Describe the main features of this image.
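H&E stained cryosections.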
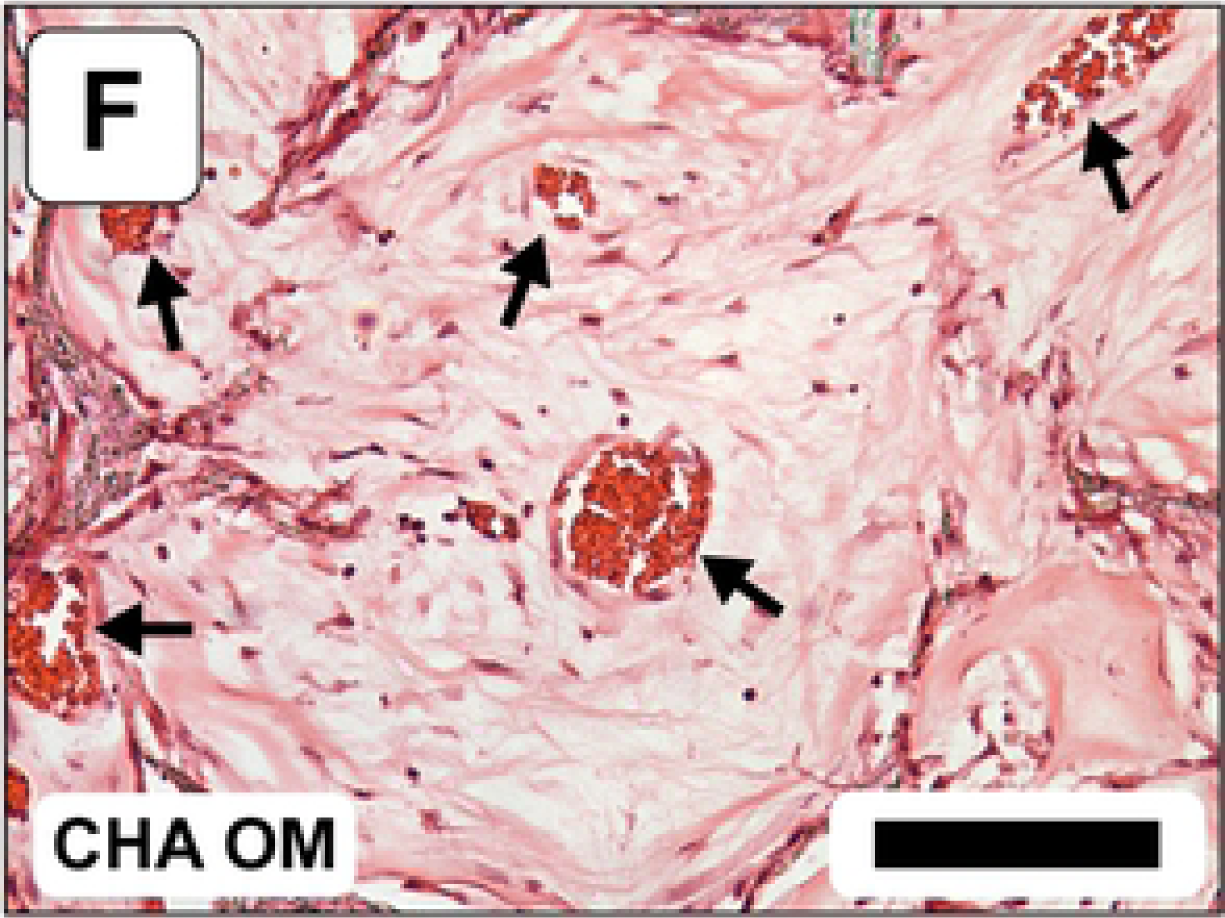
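Pink-stained loose tissue with scattered small purple nuclei contains several blood vessels cut across or obliquely. Pale pink acellular material surrounds the cellular tissue in places.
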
